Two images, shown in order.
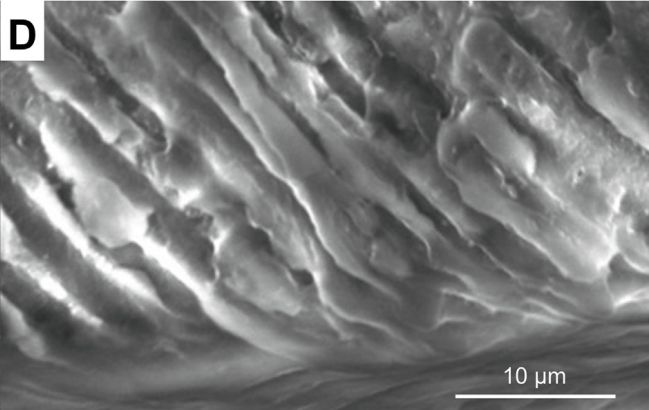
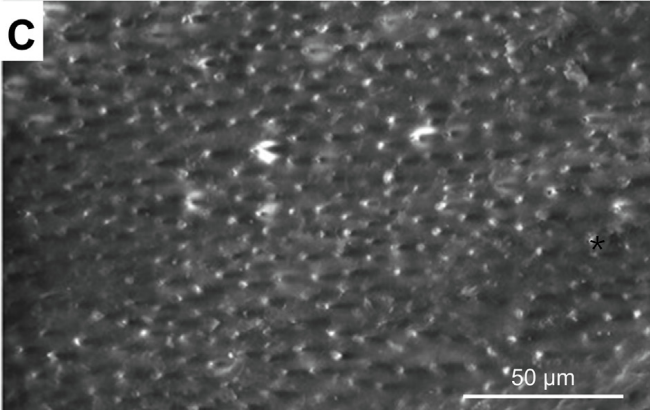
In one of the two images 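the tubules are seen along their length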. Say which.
The first image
